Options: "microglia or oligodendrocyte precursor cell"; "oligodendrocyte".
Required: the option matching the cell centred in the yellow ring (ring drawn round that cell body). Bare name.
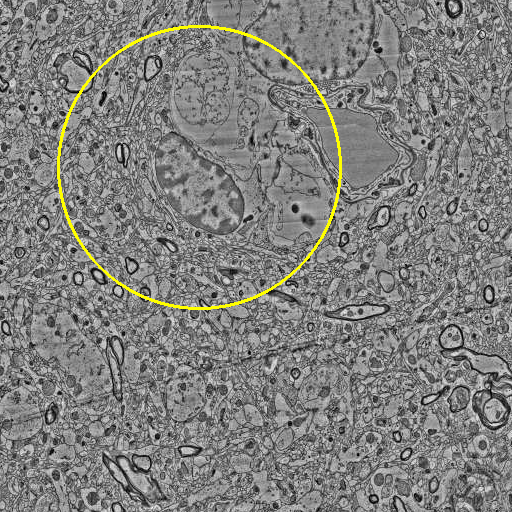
microglia or oligodendrocyte precursor cell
